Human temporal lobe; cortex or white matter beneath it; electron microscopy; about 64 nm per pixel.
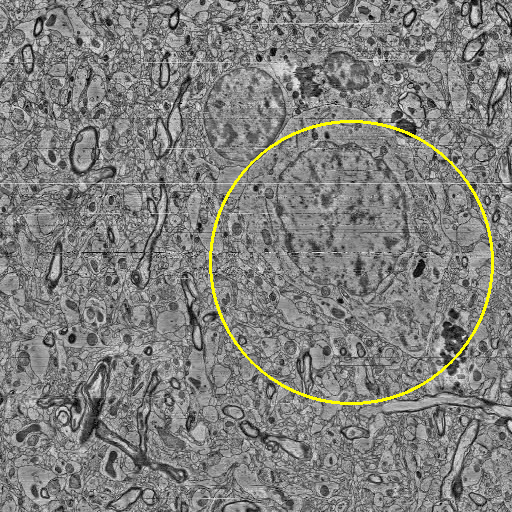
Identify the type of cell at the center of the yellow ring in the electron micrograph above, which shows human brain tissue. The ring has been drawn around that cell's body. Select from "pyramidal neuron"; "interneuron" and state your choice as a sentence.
The yellow ring is centered on the body of an interneuron.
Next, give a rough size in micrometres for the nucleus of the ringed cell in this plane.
The nucleus has a long axis of about 11 micrometres and a short axis of about 8 micrometres in this plane.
